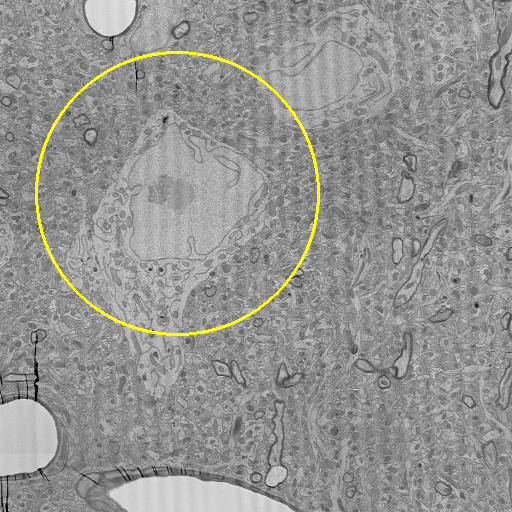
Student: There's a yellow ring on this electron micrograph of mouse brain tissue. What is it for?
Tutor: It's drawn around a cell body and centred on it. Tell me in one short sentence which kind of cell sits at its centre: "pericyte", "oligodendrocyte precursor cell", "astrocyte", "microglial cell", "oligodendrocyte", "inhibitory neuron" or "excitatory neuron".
The cell at the centre of the ring is an inhibitory neuron.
